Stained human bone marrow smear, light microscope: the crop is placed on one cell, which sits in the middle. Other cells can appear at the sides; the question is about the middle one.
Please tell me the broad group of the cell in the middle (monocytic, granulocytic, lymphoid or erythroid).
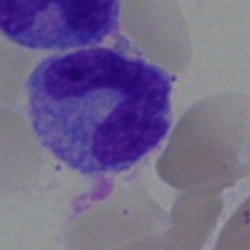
monocytic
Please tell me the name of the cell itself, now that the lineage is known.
monocyte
